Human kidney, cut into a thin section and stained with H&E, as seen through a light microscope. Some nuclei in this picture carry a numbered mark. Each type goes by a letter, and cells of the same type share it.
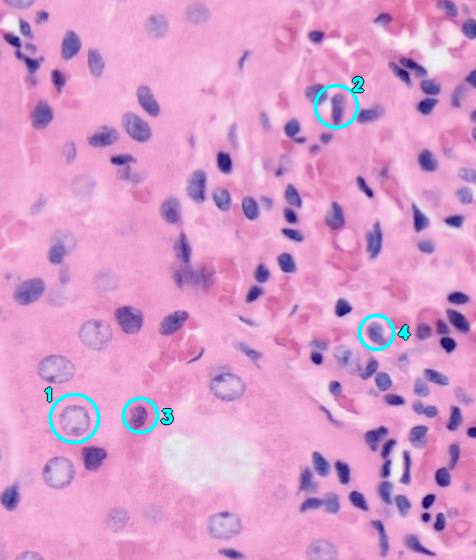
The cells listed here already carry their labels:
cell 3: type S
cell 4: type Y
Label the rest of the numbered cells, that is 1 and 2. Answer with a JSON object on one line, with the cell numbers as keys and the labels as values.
{"1": "type S", "2": "type Y"}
